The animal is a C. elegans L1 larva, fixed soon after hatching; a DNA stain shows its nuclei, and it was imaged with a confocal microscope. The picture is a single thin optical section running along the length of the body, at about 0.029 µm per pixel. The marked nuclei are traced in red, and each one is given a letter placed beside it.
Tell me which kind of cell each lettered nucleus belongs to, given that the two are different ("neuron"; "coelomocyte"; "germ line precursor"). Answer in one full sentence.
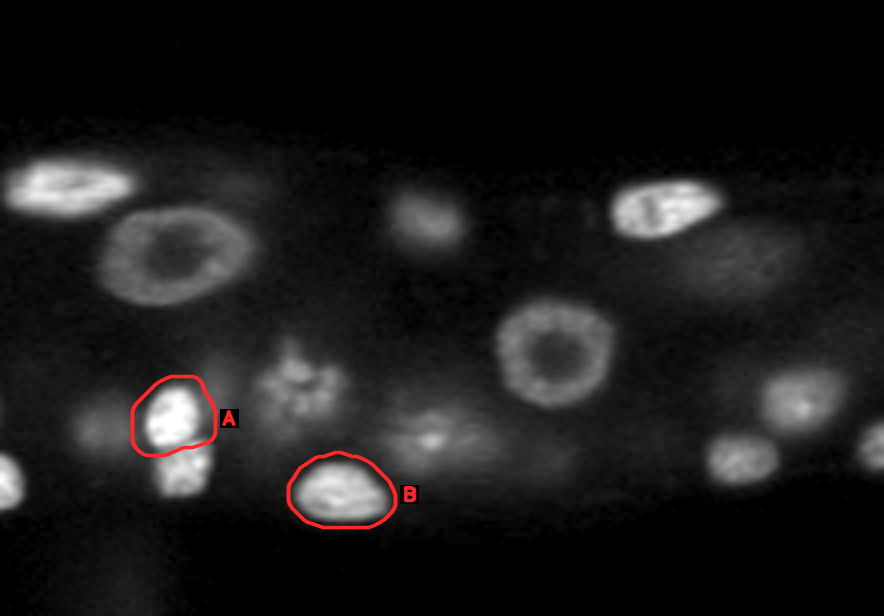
Nucleus A comes from a coelomocyte and nucleus B from a neuron.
